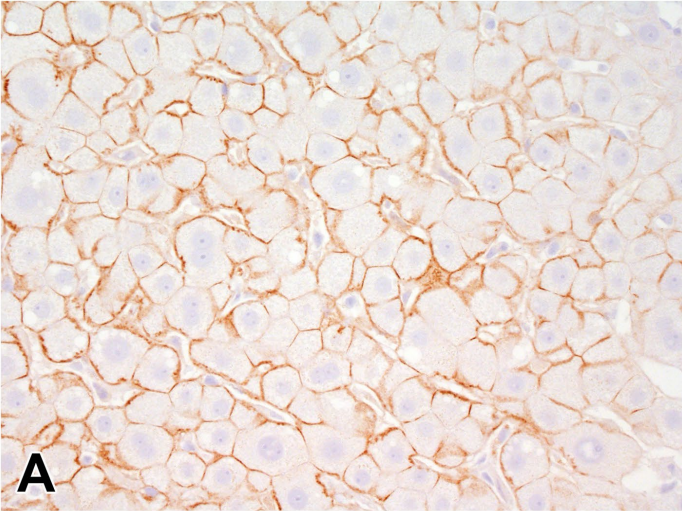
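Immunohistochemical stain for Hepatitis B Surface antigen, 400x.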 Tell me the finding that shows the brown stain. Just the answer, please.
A: Membranous staining.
